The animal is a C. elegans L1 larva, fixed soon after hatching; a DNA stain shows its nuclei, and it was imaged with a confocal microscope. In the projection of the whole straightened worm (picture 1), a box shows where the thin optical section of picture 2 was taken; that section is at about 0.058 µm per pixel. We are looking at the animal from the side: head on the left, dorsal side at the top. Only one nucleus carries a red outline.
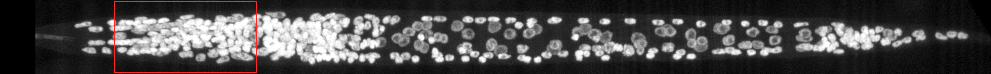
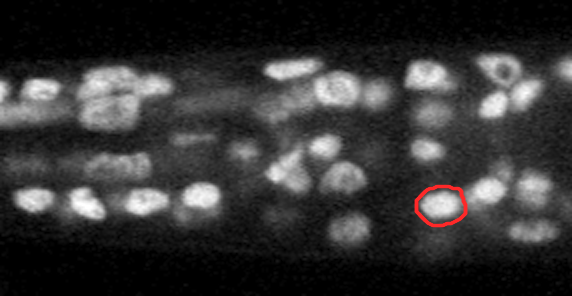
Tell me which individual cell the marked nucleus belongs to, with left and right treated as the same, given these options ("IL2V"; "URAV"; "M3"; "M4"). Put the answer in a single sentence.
The cell whose nucleus is marked is IL2V, a neuron.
